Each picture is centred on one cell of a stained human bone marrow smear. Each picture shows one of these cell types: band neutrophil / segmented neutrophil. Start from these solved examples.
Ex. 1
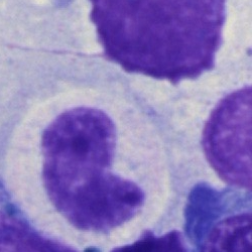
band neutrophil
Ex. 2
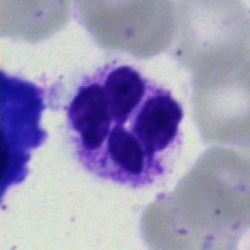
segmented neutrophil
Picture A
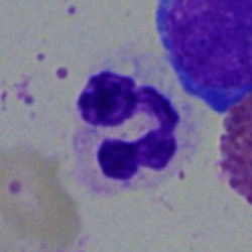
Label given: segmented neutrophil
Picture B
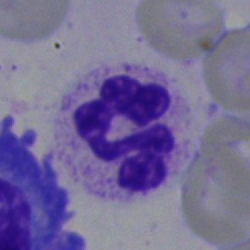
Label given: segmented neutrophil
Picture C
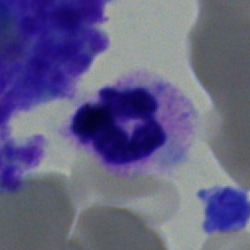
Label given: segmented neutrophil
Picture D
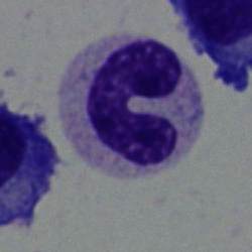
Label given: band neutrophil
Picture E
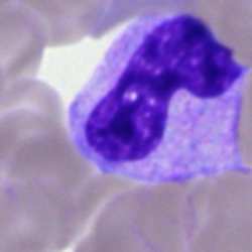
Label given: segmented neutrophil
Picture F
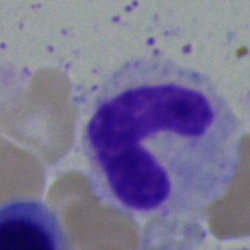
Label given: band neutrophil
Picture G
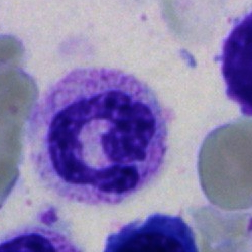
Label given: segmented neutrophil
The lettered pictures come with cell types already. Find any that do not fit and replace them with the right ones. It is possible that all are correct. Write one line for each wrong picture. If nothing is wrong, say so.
E is labelled segmented neutrophil; correct label: band neutrophil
